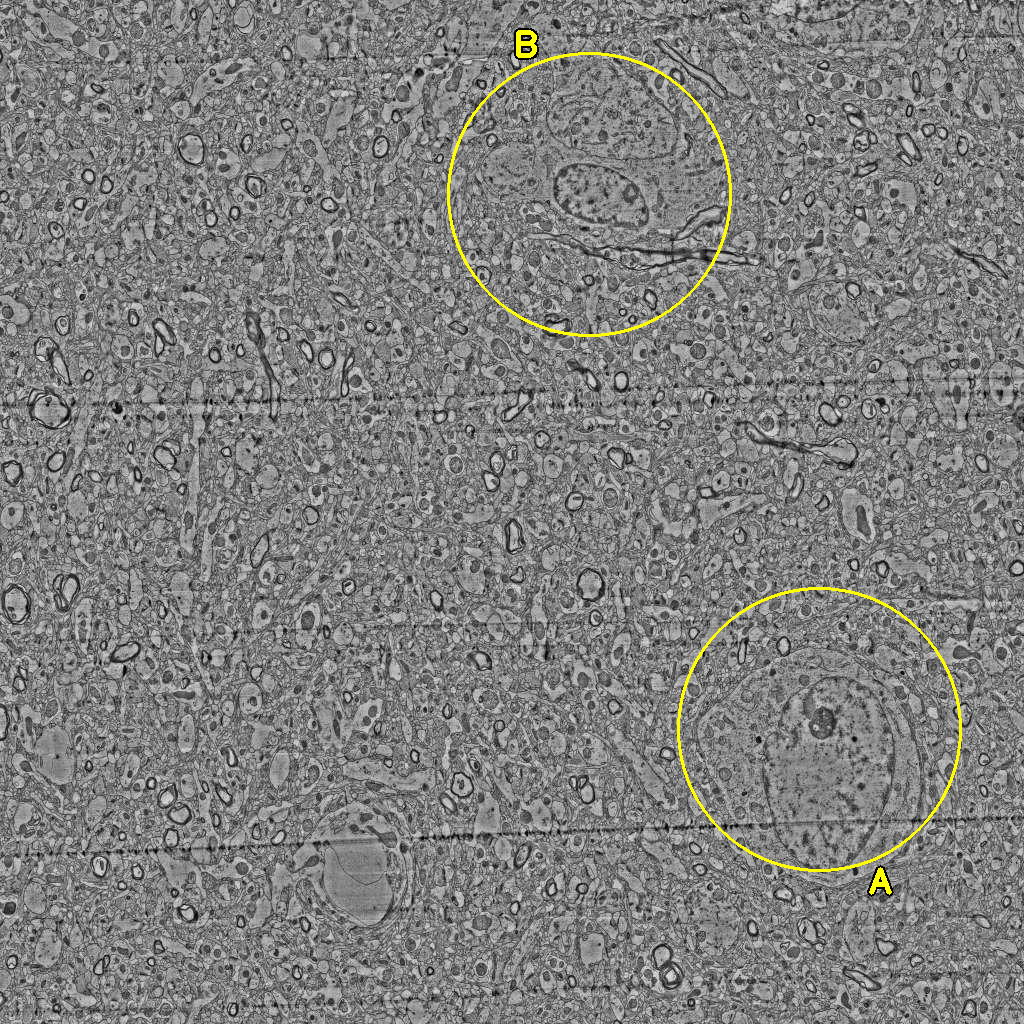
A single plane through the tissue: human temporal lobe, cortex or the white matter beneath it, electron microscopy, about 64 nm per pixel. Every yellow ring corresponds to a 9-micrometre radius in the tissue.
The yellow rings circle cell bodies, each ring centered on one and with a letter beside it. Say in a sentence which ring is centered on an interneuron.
Ring A is centered on it.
